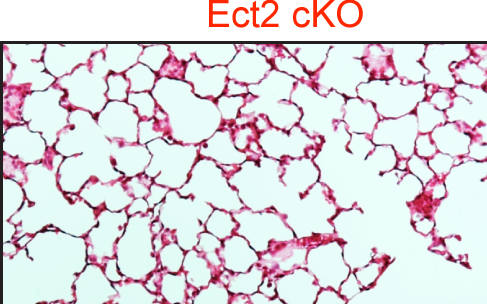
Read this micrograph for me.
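This is lung parenchyma stained pink and purple, with air spaces bounded by thin pink walls carrying scattered purple nuclei. Compared with a densely subdivided lung, the air spaces here are wider and fewer, and the walls between them are sparse, so large open areas stretch across the field with only thin septa crossing them. Some small vessels with red contents sit at wall junctions. The overall pattern is of enlarged, less partitioned alveoli, a simplified alveolar architecture rather than the fine meshwork of many small sacs.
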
